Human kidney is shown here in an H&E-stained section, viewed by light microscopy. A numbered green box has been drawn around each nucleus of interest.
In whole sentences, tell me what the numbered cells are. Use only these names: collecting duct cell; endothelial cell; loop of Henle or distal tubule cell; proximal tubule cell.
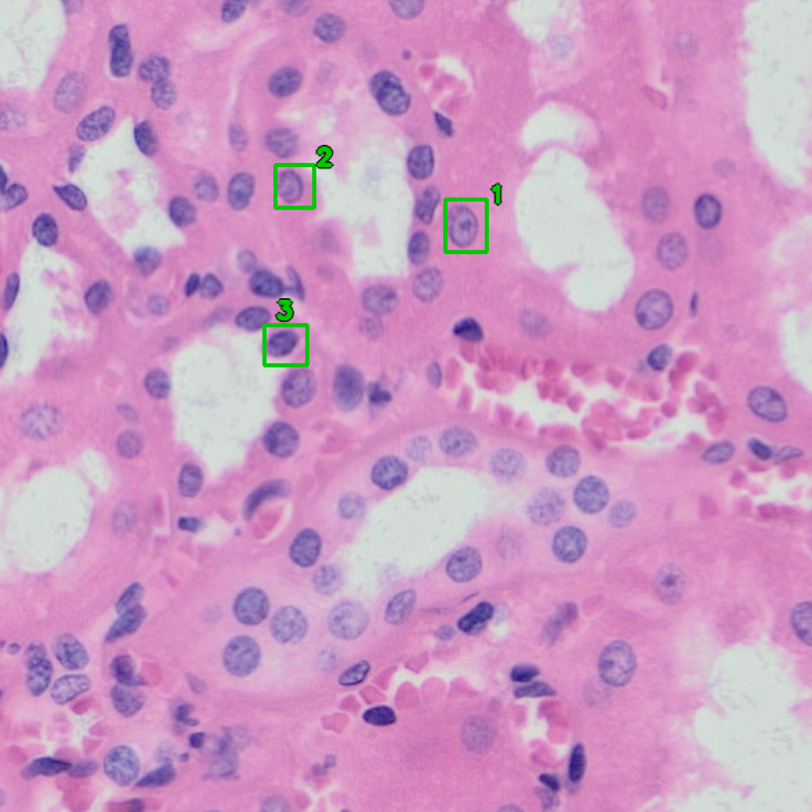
Cell 1 is a proximal tubule cell. Cells 2 and 3 are loop of Henle or distal tubule cells.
